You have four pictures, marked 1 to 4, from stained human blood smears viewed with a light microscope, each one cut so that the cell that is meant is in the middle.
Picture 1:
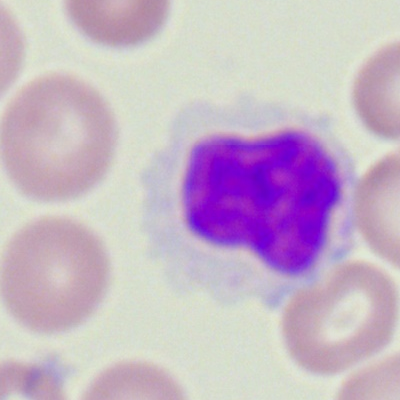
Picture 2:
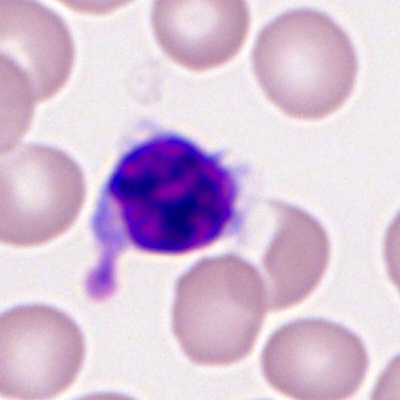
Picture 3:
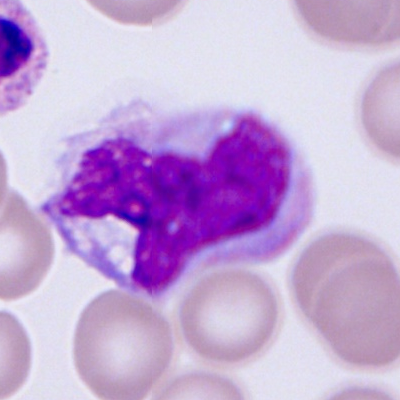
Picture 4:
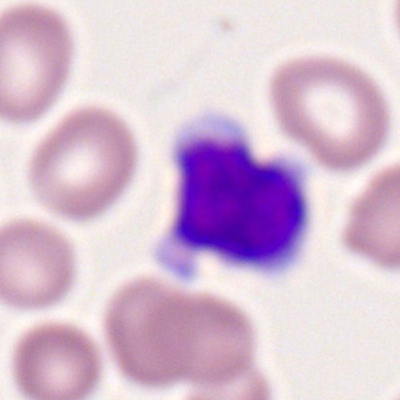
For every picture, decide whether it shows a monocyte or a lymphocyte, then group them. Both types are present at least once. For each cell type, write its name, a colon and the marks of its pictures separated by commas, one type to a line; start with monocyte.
monocyte: 3
lymphocyte: 1, 2, 4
